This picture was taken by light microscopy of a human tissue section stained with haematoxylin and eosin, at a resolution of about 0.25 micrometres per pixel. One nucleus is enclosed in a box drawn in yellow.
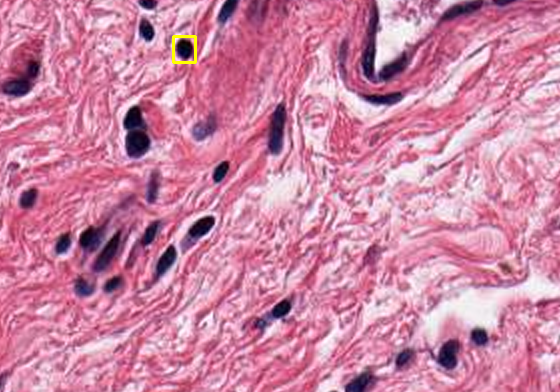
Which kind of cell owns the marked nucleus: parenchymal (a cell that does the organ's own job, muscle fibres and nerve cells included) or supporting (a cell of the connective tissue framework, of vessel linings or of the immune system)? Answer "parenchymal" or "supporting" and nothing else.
supporting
